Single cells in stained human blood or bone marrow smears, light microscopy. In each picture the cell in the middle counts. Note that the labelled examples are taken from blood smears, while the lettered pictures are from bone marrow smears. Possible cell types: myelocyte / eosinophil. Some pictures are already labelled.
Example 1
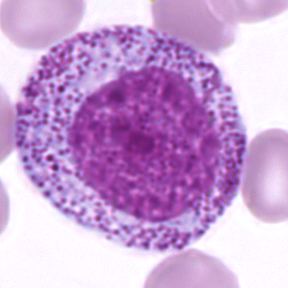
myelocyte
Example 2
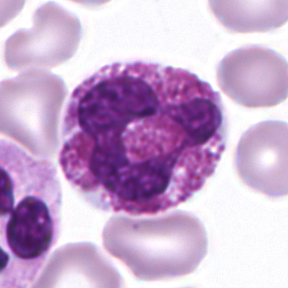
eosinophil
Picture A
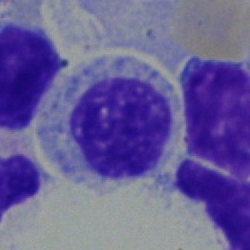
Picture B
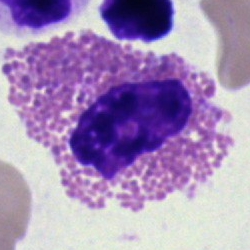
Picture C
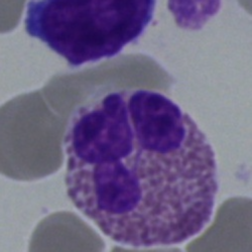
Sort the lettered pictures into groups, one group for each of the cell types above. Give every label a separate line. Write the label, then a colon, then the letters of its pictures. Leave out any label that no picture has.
myelocyte: A
eosinophil: B, C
